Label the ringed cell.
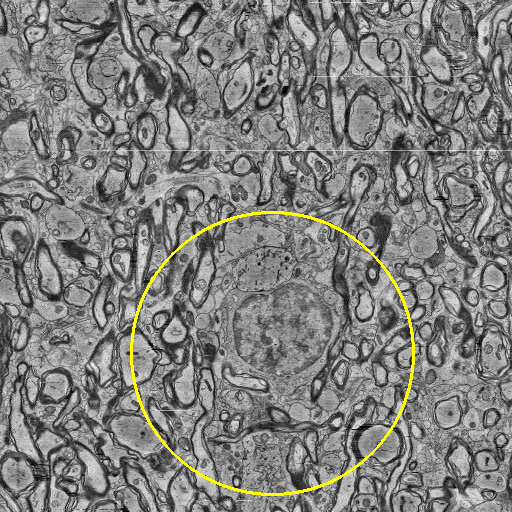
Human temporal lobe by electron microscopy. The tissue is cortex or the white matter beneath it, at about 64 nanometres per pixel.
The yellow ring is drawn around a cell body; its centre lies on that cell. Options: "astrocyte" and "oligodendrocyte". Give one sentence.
The ringed cell is an oligodendrocyte.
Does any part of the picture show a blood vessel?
No, there is no blood vessel in the image.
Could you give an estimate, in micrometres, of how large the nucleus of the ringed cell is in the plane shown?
In this plane, the nucleus of the cell at the centre of the ring is about 6 micrometres across.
